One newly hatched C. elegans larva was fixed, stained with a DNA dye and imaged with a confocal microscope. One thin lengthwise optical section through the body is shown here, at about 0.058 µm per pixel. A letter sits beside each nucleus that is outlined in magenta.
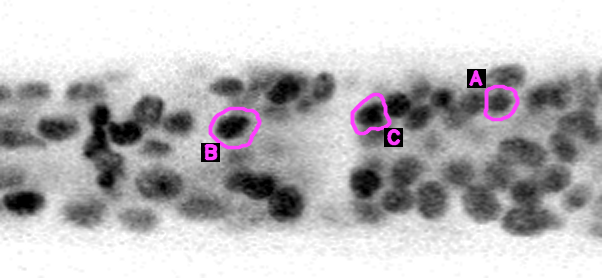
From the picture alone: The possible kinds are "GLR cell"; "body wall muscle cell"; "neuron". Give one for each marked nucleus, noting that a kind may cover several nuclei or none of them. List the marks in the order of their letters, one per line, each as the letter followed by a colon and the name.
A: neuron
B: neuron
C: GLR cell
